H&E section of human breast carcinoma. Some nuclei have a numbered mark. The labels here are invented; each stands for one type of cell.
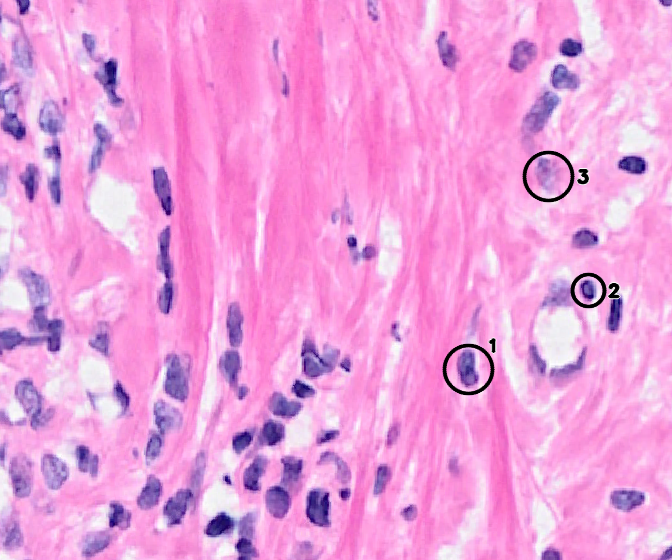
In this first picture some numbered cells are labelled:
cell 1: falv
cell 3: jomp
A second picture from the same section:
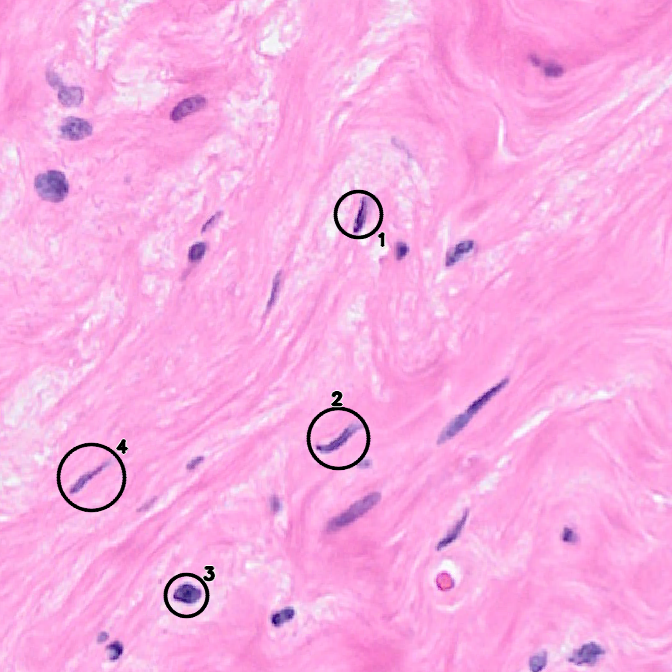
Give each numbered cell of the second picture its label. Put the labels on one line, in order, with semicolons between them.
jomp; jomp; falv; jomp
